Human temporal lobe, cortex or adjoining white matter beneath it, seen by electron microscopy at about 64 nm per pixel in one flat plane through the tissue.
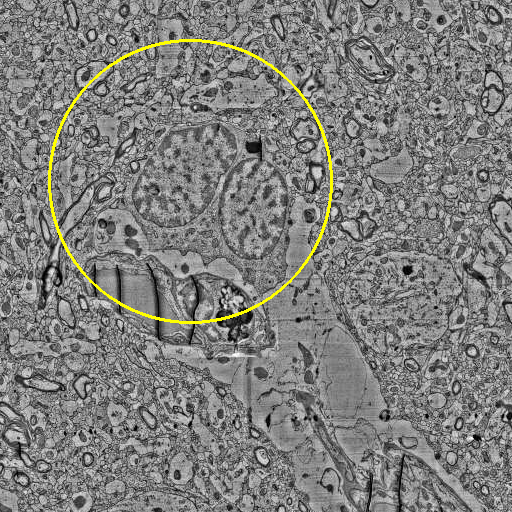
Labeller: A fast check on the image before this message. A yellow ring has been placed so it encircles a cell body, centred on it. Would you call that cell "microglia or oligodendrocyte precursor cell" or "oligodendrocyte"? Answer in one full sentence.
In this image, an oligodendrocyte is the cell on which the yellow ring is centred.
